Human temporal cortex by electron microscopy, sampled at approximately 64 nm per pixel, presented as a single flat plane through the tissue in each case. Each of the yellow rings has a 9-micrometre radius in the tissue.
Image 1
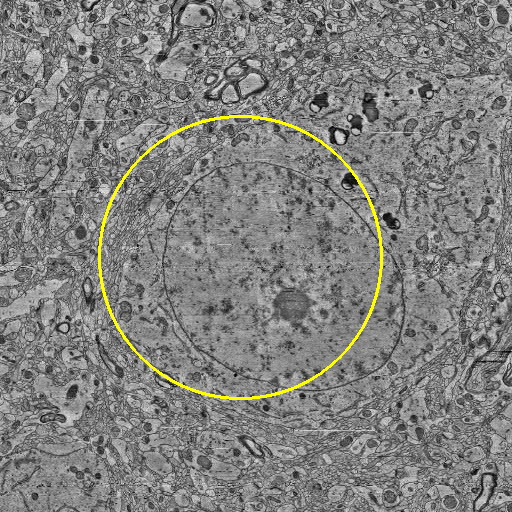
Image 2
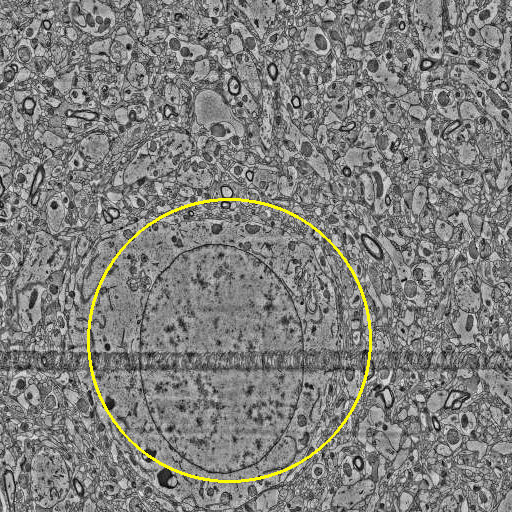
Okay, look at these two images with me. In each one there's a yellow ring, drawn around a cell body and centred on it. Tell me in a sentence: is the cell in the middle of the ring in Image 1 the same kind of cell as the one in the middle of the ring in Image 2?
Yes, they're the same kind of cell.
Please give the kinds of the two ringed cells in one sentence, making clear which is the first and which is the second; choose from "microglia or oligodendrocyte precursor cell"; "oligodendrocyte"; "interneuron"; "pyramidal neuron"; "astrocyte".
Each of the two pictures has a pyramidal neuron at the ring centre.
